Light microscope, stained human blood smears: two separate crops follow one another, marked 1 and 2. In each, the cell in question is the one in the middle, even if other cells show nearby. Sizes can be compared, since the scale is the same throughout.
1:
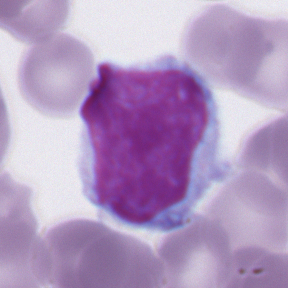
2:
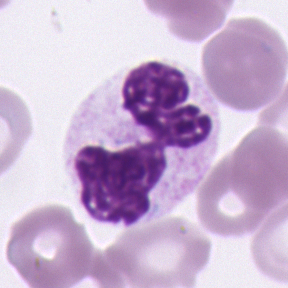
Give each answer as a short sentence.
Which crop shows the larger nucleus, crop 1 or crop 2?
The nucleus in crop 1 is larger, with about 1.5 times the area of the one in crop 2.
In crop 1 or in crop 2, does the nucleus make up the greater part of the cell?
In crop 1 the nucleus takes up the larger part of its cell.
